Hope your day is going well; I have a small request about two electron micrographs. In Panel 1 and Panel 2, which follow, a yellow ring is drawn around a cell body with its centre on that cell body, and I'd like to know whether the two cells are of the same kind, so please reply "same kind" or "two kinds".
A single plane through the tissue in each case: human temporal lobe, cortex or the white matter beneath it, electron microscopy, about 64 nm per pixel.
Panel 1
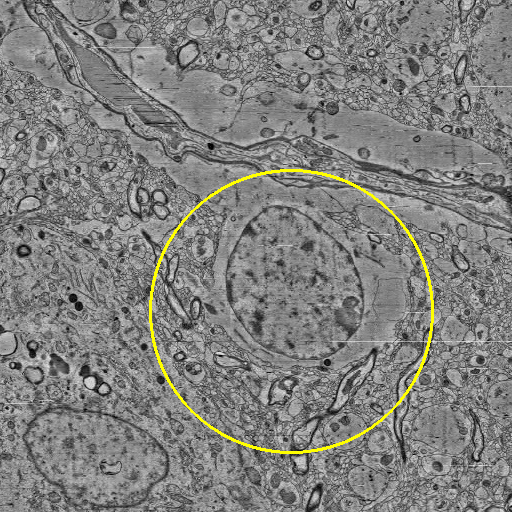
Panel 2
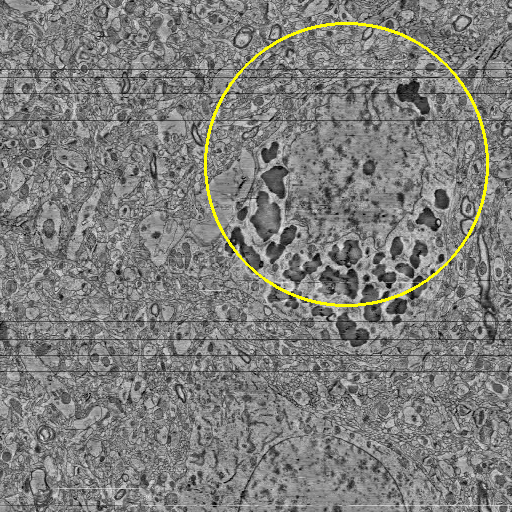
two kinds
